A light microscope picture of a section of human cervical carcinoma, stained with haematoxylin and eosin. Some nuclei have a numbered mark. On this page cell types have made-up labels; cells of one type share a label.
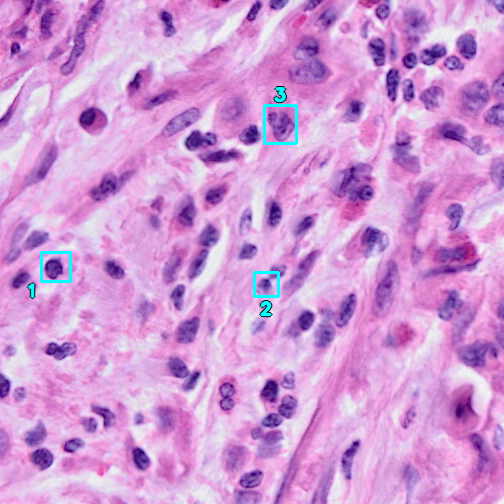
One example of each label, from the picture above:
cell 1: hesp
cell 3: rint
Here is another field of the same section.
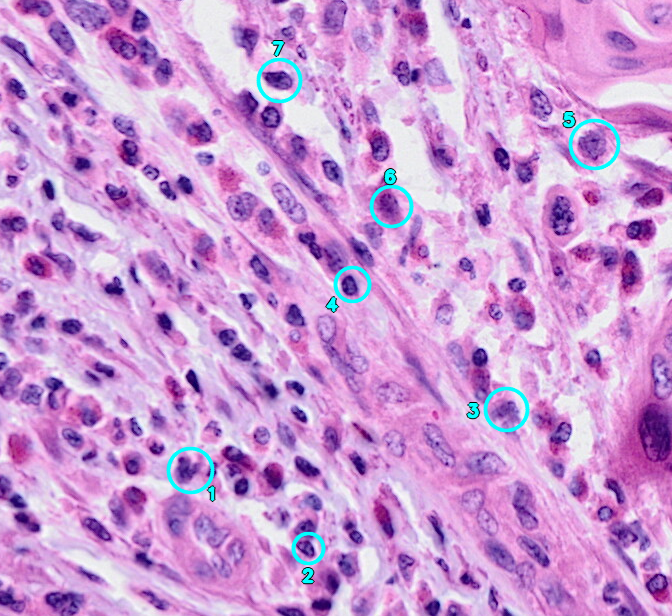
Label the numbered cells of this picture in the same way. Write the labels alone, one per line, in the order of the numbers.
hesp
hesp
rint
hesp
rint
rint
hesp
